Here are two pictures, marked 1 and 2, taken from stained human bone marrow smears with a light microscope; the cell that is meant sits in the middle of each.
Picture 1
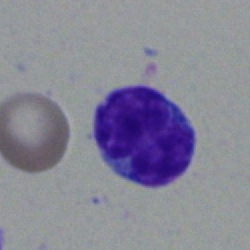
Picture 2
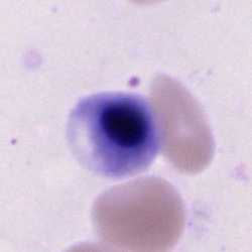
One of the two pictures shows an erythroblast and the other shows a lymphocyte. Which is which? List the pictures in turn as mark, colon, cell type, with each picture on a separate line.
1: lymphocyte
2: erythroblast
